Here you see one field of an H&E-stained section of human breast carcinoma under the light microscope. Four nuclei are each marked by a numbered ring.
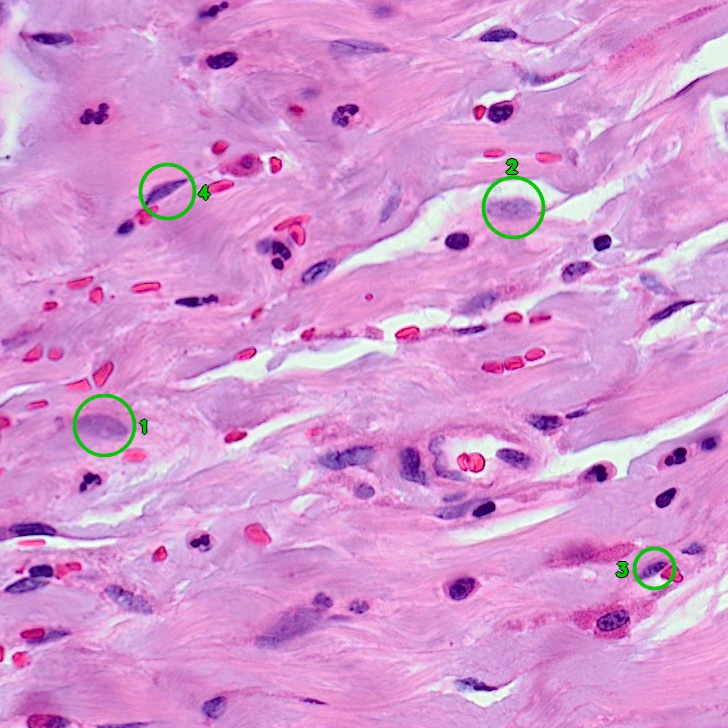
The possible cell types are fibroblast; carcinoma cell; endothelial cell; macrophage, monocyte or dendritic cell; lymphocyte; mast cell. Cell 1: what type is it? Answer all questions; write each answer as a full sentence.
The marked nucleus 1 is that of a fibroblast.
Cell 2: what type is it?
Cell 2 of the marked set is a fibroblast.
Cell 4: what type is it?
Here the cell numbered 4 is a fibroblast.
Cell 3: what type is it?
Marked with the number 3, this cell is an endothelial cell.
